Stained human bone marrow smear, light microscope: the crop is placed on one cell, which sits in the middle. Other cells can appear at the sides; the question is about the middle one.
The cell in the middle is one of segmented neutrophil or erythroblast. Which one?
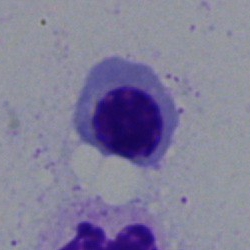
erythroblast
